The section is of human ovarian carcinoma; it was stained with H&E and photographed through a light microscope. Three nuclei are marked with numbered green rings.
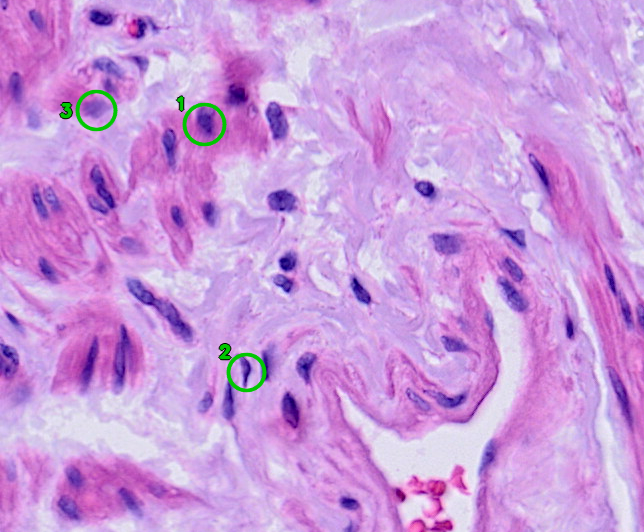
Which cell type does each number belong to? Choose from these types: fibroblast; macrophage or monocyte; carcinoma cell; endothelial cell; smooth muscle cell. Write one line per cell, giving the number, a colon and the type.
1: smooth muscle cell
2: fibroblast
3: smooth muscle cell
